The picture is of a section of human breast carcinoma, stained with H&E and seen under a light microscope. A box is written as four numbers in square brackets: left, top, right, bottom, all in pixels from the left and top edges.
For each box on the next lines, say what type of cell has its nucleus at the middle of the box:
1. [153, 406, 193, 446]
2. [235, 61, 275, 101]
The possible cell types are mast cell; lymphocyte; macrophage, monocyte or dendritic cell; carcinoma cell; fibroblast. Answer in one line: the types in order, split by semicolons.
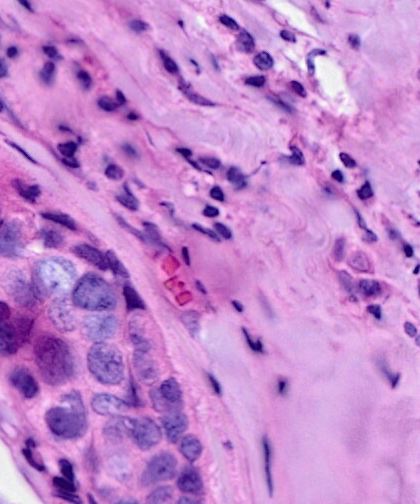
carcinoma cell; lymphocyte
